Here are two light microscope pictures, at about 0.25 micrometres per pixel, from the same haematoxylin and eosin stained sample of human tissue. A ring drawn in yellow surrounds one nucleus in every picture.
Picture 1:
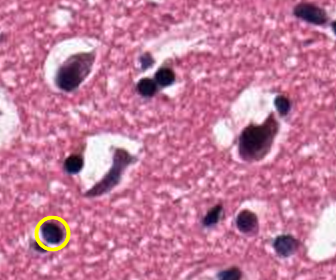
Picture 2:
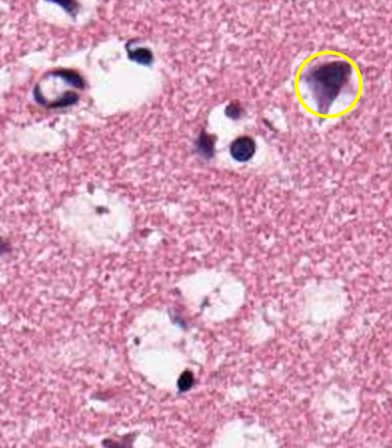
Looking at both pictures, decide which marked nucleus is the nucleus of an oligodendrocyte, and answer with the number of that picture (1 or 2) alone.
1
